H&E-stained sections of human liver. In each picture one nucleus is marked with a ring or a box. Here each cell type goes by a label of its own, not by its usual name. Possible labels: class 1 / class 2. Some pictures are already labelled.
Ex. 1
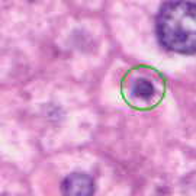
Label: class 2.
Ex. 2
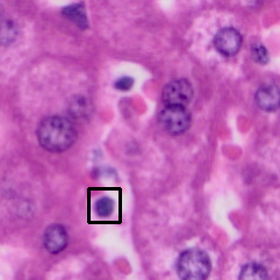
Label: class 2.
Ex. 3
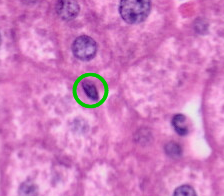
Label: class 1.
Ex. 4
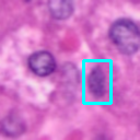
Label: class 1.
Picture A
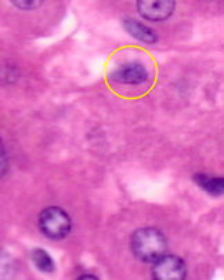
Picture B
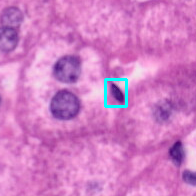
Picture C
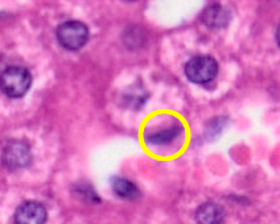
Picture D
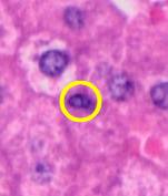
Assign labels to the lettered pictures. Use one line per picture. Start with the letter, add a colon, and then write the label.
A: class 1.
B: class 1.
C: class 1.
D: class 1.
